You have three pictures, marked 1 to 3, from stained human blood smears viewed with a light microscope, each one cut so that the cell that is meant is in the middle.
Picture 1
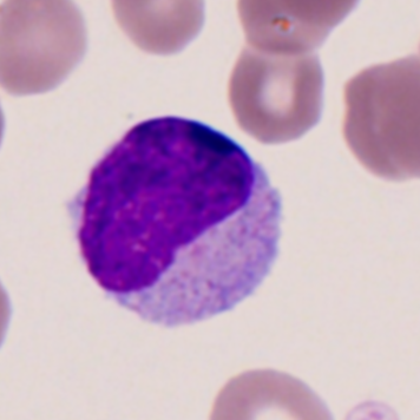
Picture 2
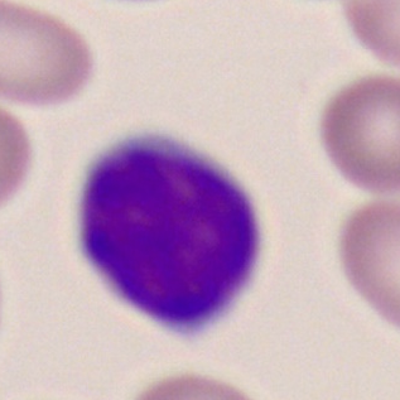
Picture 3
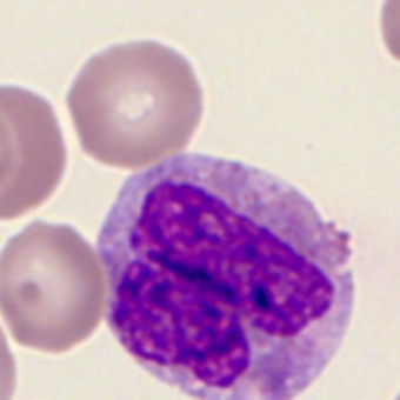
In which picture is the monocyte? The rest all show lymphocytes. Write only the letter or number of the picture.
3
